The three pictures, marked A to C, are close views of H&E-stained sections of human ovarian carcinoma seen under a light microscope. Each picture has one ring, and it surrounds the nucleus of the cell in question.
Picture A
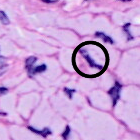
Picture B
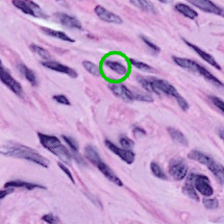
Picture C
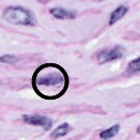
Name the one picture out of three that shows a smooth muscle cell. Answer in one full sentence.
The cell in picture B is the smooth muscle cell.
